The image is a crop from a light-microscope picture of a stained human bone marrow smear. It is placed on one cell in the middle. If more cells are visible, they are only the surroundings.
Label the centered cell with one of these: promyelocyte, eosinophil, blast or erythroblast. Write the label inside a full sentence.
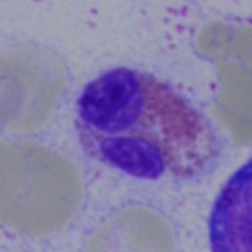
The cell sitting right in the middle is an eosinophil.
